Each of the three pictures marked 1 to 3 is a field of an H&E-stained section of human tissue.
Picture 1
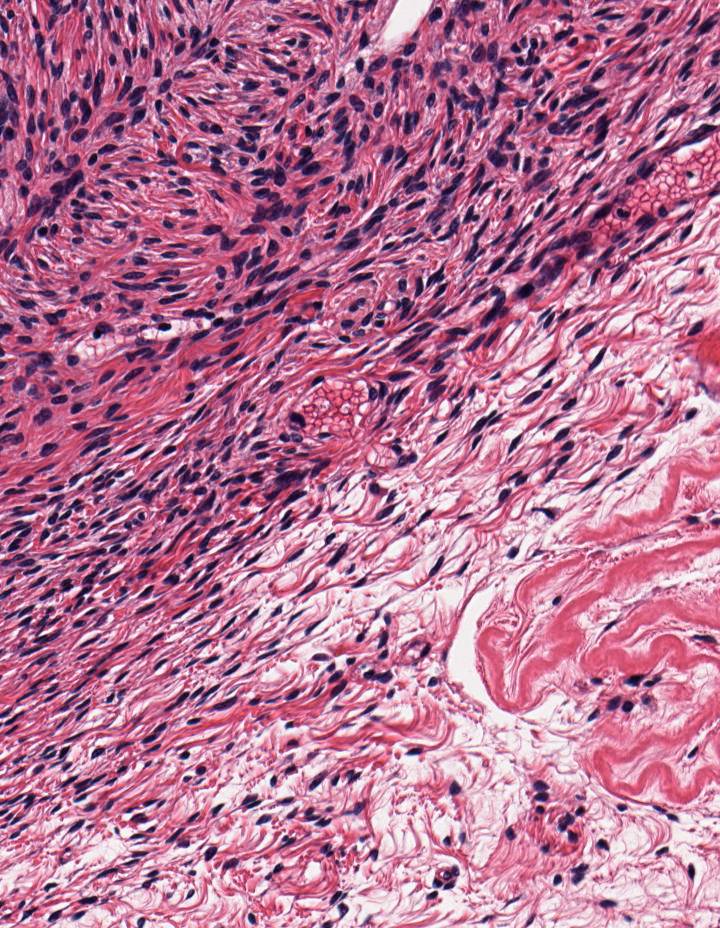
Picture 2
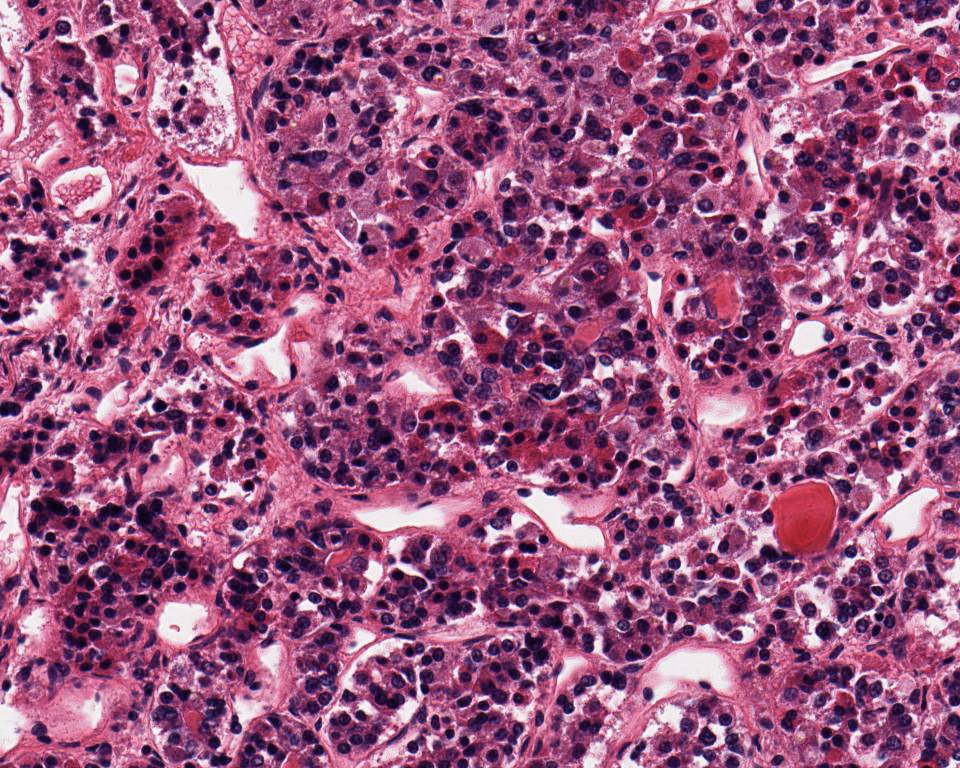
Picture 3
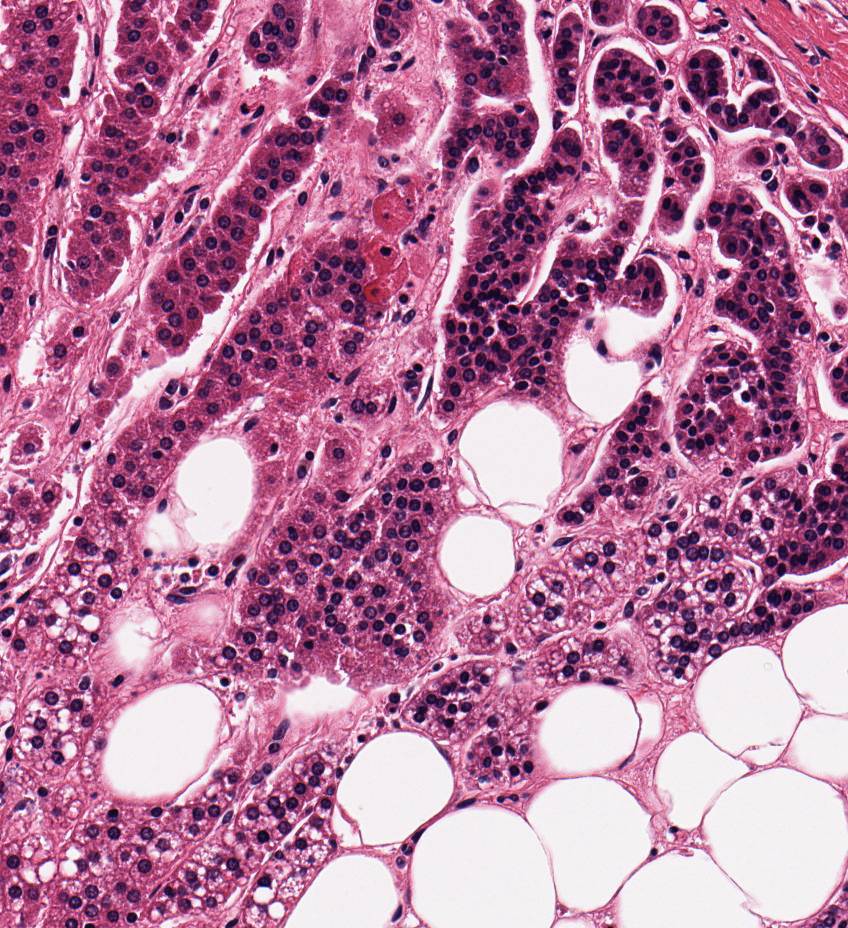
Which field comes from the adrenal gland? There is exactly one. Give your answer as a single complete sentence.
Picture 3 comes from the adrenal gland.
